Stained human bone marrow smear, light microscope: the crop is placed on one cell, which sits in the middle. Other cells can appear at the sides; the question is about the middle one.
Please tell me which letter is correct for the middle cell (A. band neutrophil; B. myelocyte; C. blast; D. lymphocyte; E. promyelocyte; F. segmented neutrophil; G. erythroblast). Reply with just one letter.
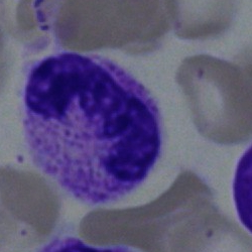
A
